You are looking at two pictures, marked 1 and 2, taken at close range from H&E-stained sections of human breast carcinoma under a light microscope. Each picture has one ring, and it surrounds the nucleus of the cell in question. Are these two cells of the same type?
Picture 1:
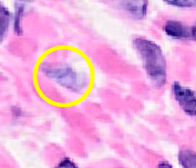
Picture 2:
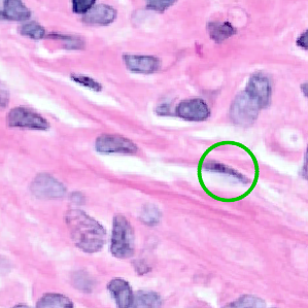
yes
